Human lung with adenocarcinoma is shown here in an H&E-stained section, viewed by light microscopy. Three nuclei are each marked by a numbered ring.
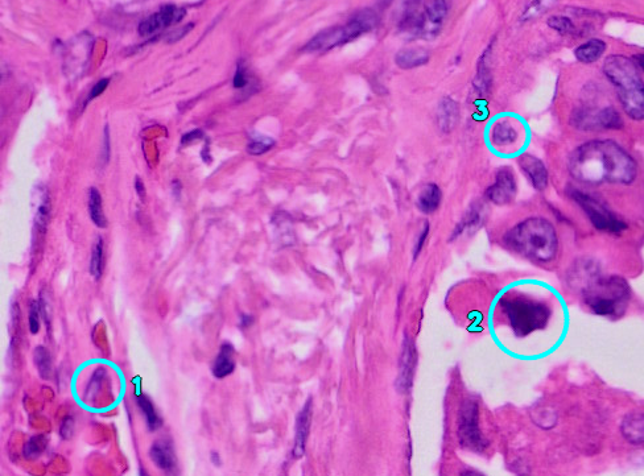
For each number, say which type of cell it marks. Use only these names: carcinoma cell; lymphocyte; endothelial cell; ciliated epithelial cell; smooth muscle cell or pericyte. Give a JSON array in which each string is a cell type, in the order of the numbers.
["endothelial cell", "carcinoma cell", "lymphocyte"]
